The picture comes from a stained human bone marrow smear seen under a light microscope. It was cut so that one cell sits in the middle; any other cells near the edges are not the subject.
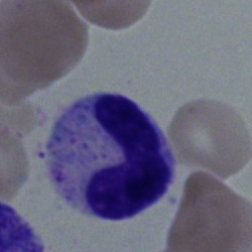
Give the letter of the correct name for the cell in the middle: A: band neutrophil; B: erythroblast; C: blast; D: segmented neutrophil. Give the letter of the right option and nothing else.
A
